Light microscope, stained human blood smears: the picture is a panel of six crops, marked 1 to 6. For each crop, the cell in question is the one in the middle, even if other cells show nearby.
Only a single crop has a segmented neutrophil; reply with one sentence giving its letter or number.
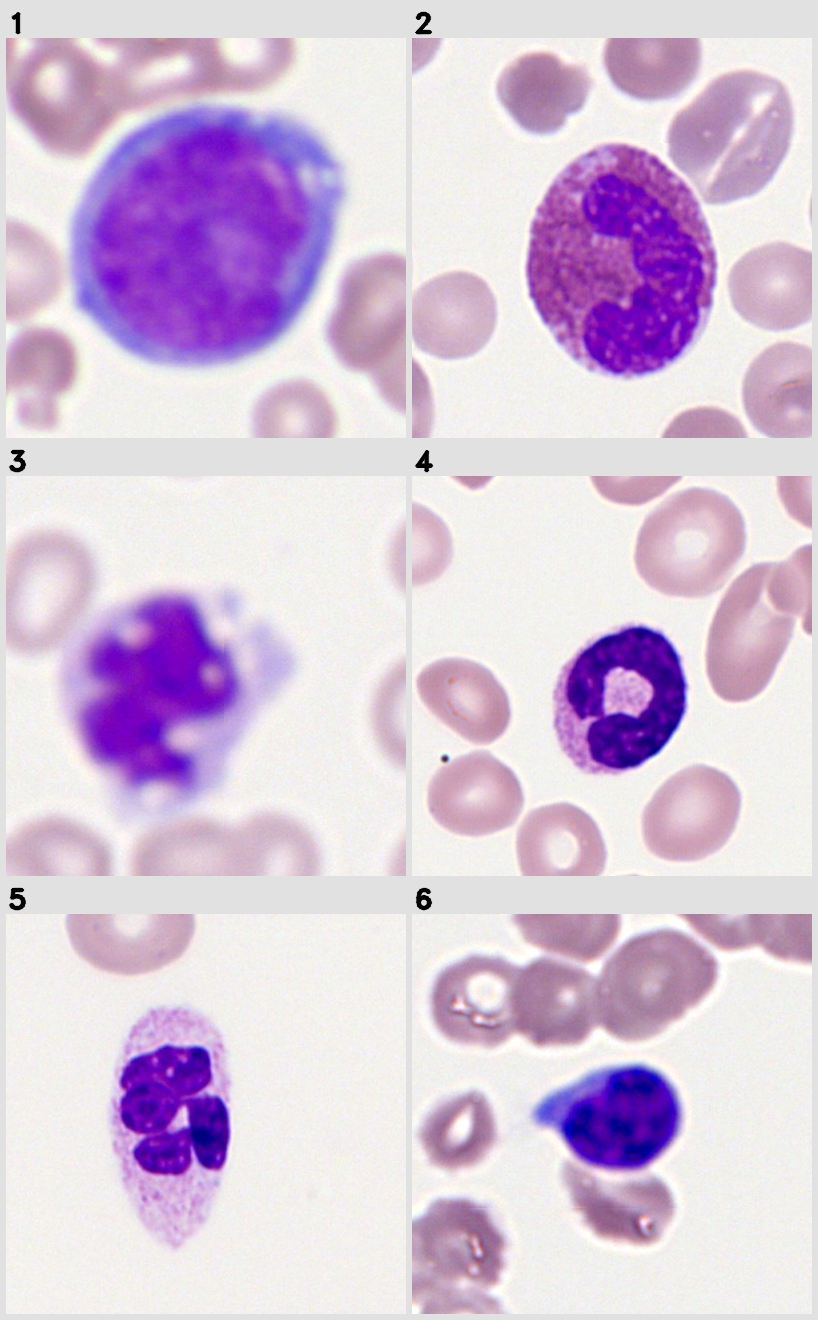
Crop 5 is the single crop that shows a segmented neutrophil.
